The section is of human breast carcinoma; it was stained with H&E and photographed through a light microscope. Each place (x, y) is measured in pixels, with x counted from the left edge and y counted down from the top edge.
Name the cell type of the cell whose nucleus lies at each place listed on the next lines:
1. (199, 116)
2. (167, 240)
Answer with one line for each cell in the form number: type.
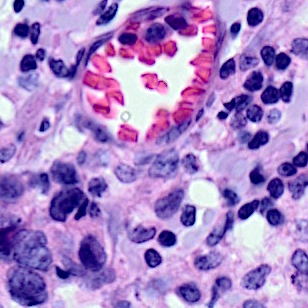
1: endothelial cell
2: lymphocyte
